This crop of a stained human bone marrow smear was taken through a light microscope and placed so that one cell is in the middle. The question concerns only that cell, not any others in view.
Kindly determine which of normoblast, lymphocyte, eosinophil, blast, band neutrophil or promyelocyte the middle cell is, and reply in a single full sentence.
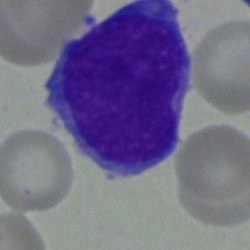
Among the cells in view, the one in the middle is a blast.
